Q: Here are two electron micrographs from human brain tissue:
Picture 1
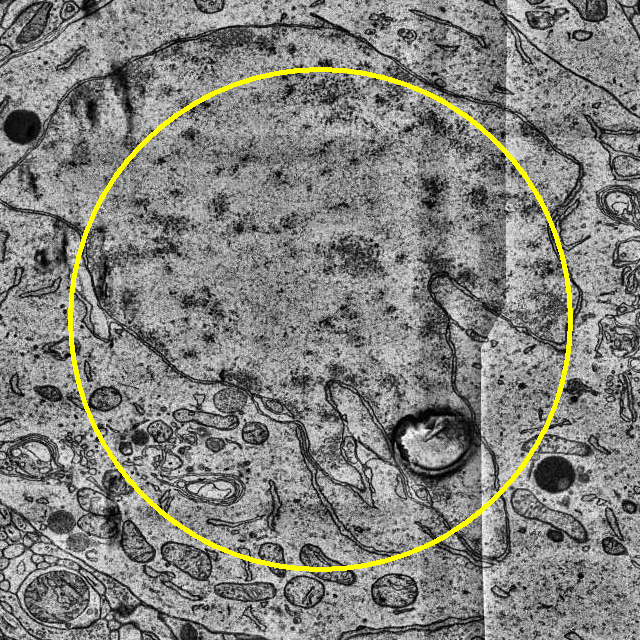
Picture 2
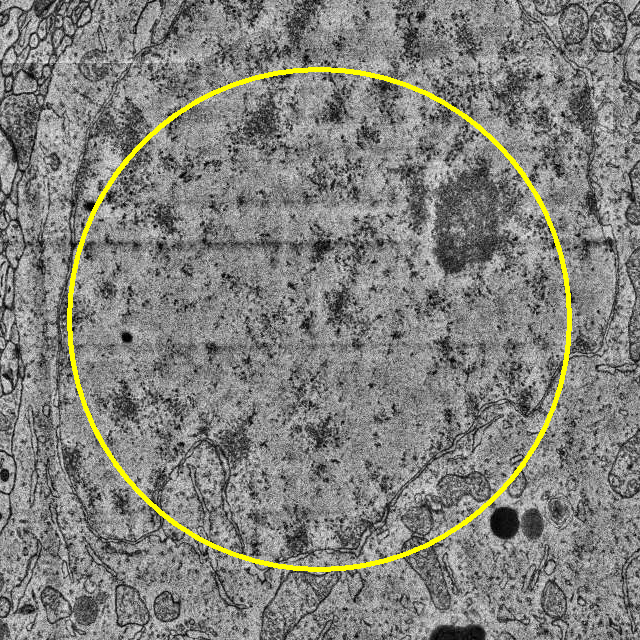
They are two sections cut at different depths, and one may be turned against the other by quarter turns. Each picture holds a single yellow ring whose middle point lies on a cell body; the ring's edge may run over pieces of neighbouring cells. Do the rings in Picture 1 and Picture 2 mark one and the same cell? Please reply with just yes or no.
no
